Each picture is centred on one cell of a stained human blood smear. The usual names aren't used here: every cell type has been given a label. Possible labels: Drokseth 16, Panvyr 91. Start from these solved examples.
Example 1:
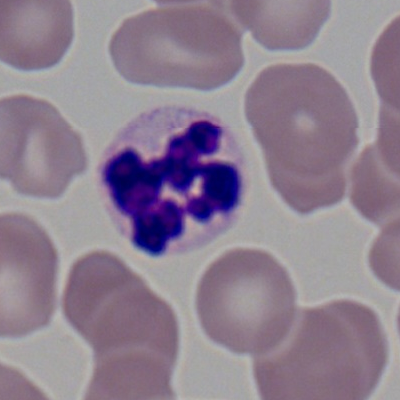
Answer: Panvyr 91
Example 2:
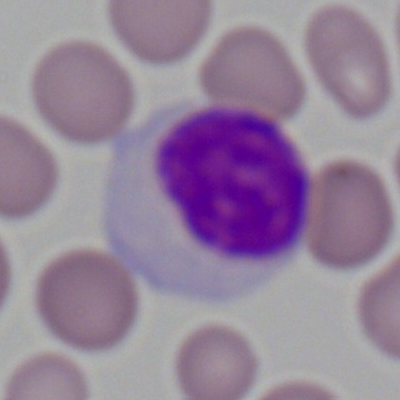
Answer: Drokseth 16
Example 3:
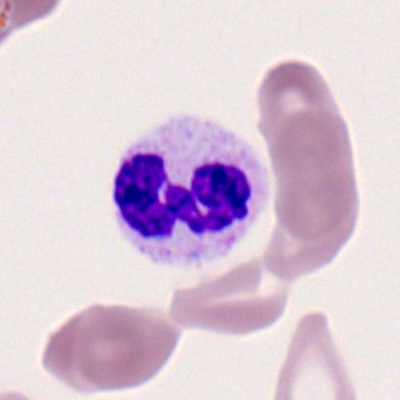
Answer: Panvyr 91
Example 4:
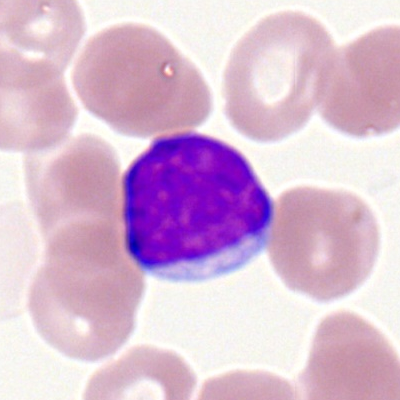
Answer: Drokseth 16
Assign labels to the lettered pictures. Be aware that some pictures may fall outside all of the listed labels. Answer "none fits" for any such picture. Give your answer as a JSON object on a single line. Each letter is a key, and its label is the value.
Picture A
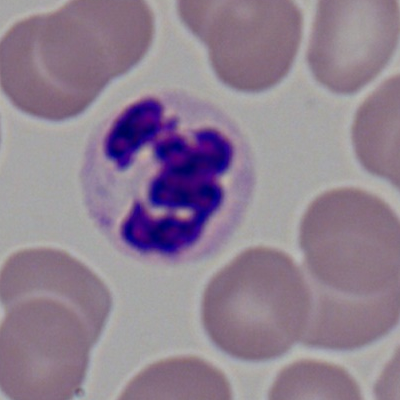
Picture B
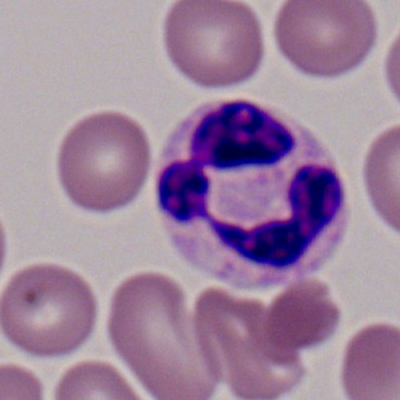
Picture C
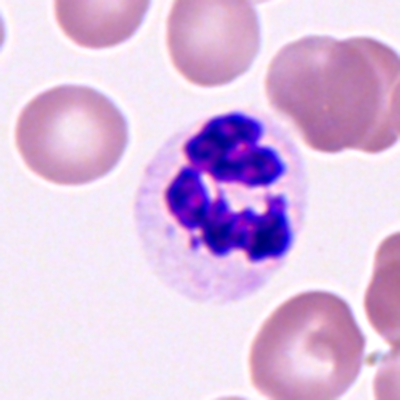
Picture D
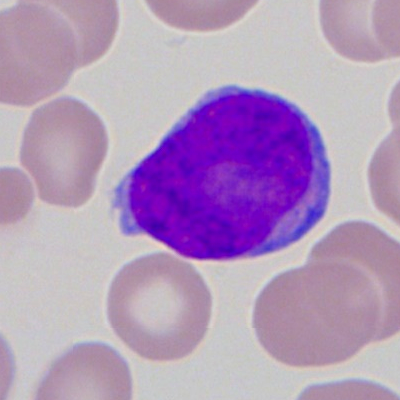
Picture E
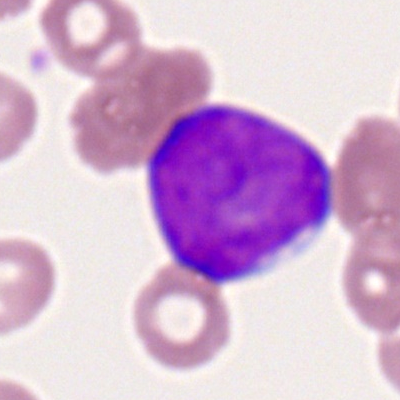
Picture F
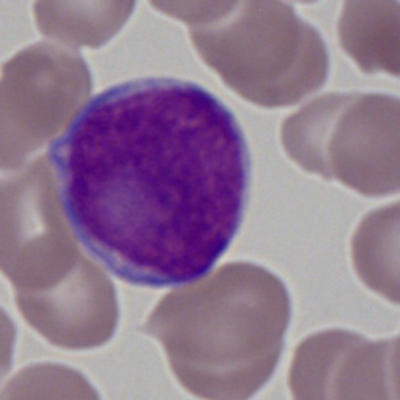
{"A": "Panvyr 91", "B": "Panvyr 91", "C": "Panvyr 91", "D": "none fits", "E": "none fits", "F": "none fits"}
